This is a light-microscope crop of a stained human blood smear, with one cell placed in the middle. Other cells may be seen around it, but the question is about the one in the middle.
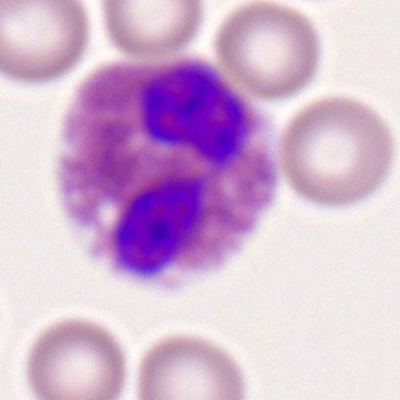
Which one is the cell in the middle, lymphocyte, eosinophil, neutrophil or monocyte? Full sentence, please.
What the crop centres on is an eosinophil.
